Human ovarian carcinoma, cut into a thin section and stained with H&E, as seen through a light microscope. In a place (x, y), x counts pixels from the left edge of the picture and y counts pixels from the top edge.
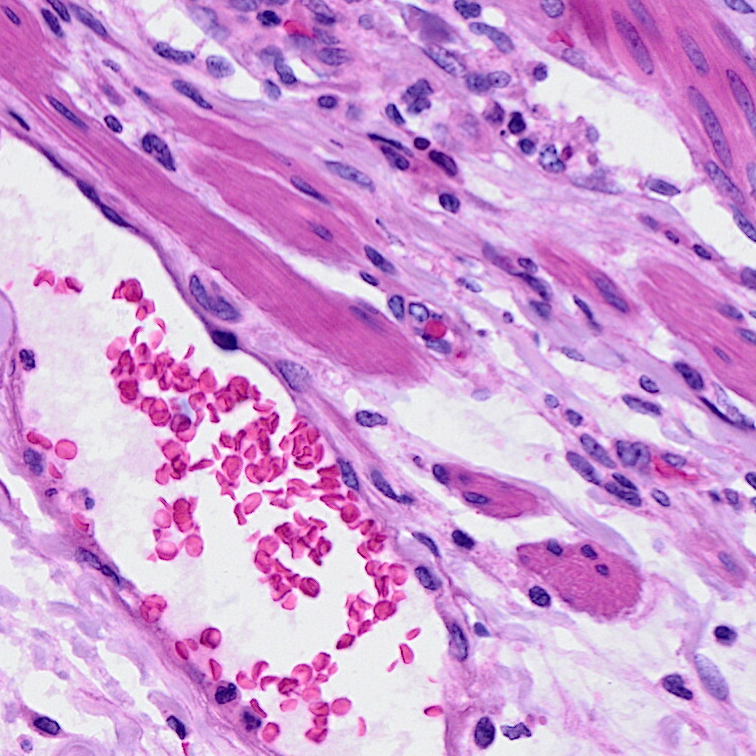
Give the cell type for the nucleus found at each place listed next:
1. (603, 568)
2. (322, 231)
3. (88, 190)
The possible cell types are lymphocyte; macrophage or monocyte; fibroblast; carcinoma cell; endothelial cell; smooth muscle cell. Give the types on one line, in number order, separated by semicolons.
smooth muscle cell; smooth muscle cell; endothelial cell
